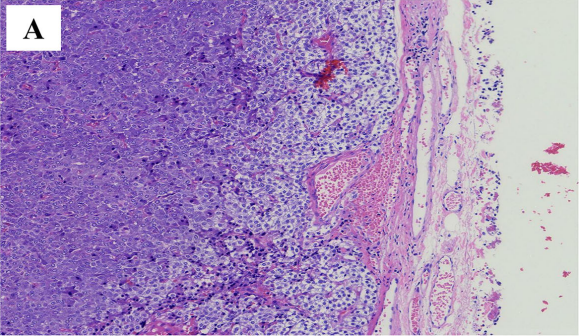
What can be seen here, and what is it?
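This is a densely cellular tumor of round to polygonal tumor cells lying against a fibrous capsule. The tumor cells form broad, closely packed sheets with round, dark purple nuclei and a modest amount of pale to pink cytoplasm. Toward the right the cells become somewhat more loosely arranged before the tumor ends at a sharp boundary. Beyond this boundary lies a band of pink, fibrous connective tissue containing blood vessels filled with red blood cells. A small focus of bright red hemorrhage lies at the edge of the cellular area near the top.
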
